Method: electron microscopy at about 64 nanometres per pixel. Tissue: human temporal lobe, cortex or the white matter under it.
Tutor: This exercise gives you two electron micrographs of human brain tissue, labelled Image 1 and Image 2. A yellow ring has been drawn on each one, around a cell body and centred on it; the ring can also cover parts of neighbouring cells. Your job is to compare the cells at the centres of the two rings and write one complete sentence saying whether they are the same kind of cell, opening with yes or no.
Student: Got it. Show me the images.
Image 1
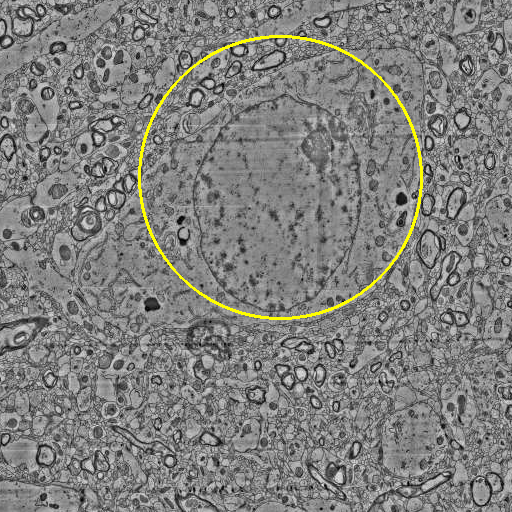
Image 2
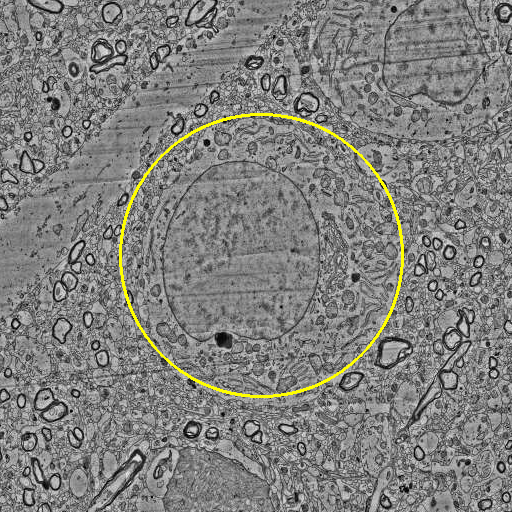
Yes, the two cells belong to the same kind.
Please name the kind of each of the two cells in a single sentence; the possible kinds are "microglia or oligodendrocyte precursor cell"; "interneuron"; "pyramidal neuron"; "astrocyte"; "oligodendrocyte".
Each cell, in the first picture and the second, is an interneuron.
